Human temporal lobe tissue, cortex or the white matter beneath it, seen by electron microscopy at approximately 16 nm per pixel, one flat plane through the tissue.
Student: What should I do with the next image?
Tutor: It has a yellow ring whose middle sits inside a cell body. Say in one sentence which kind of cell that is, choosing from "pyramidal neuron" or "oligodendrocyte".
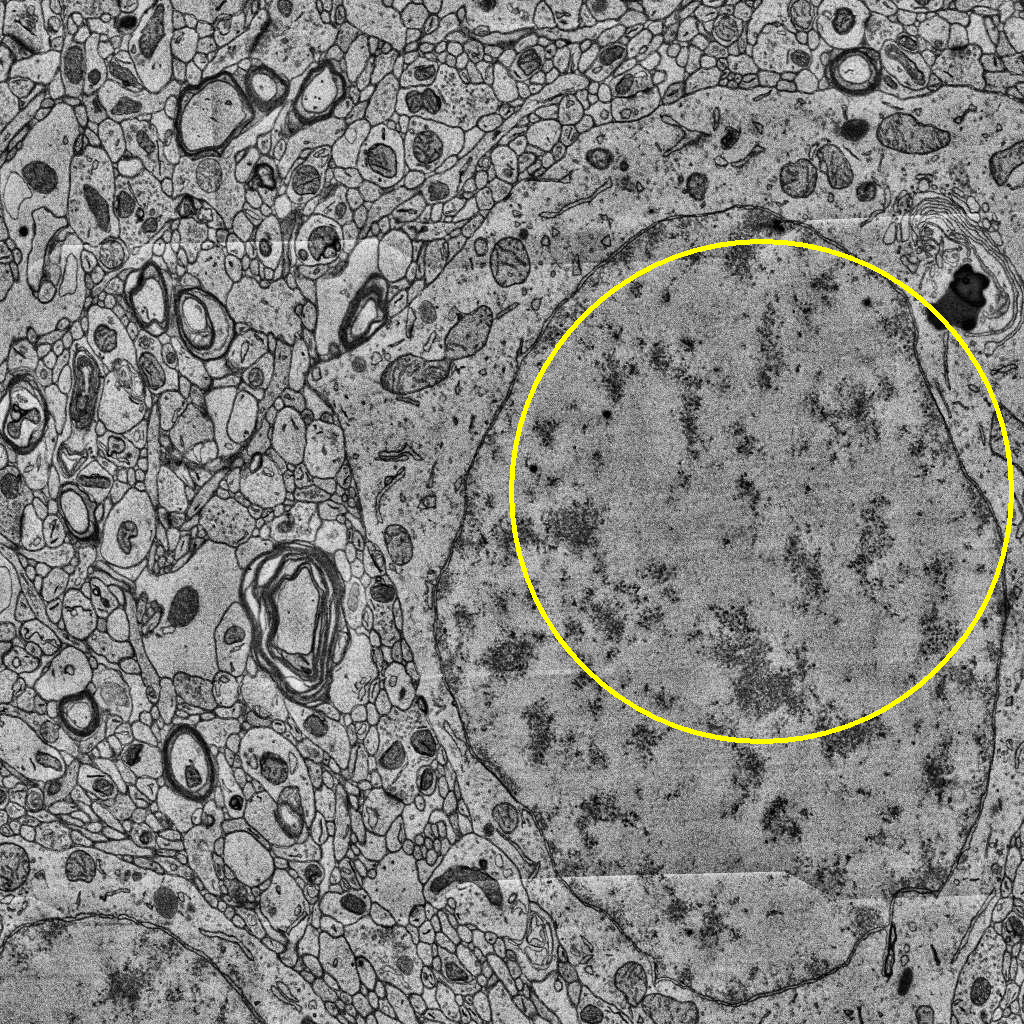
The ring's centre is occupied by a pyramidal neuron.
